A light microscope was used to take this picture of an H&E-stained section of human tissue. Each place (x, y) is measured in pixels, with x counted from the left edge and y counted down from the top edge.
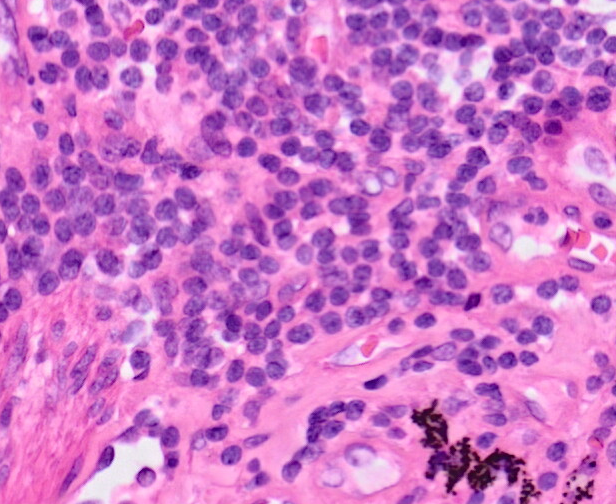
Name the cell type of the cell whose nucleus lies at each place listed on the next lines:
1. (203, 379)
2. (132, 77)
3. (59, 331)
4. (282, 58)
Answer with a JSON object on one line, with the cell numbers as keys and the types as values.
{"1": "lymphocyte", "2": "lymphocyte", "3": "smooth muscle cell or pericyte", "4": "lymphocyte"}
